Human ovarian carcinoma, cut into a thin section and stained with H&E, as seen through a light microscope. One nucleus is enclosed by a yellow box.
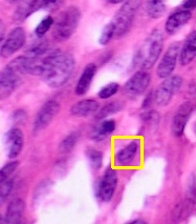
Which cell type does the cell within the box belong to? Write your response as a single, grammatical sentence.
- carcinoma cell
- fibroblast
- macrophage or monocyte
As for its identity, the cell within the box is a macrophage or monocyte.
